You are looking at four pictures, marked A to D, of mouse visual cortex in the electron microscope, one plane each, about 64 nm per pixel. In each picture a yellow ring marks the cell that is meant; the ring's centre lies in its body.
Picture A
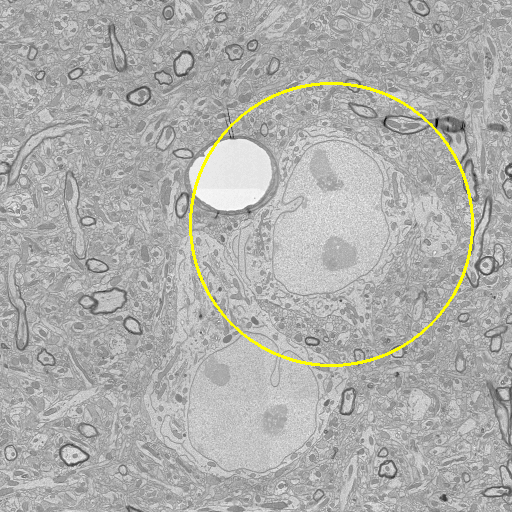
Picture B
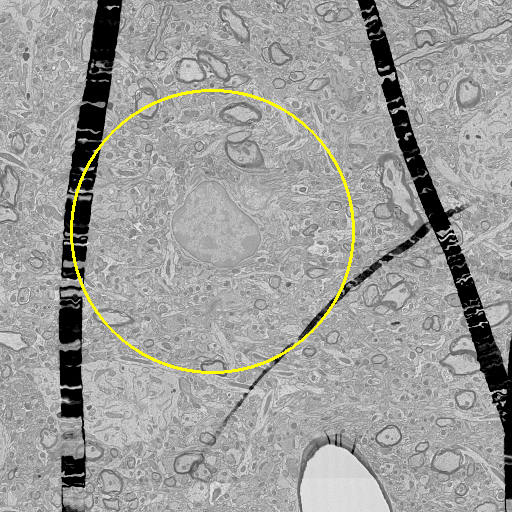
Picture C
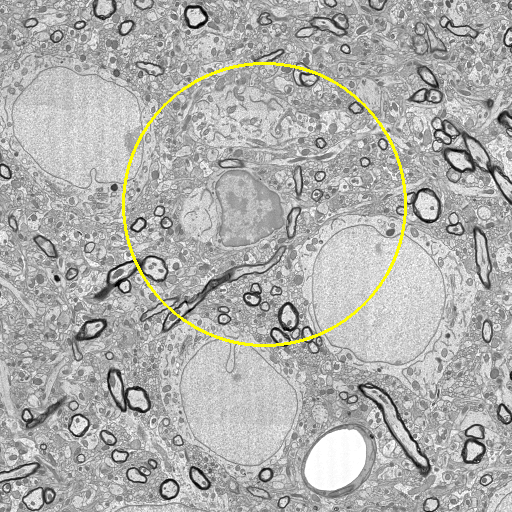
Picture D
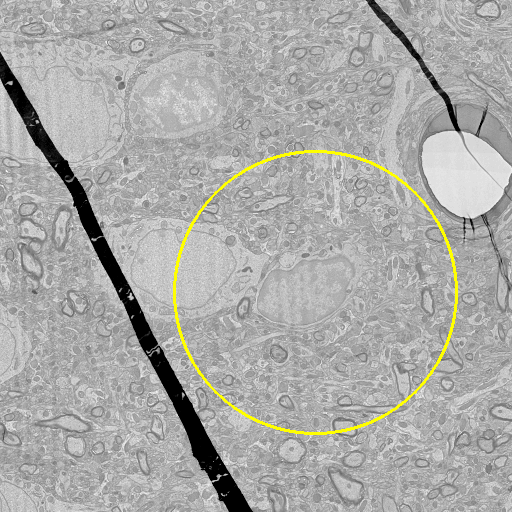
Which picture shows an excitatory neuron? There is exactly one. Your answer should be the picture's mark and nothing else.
A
